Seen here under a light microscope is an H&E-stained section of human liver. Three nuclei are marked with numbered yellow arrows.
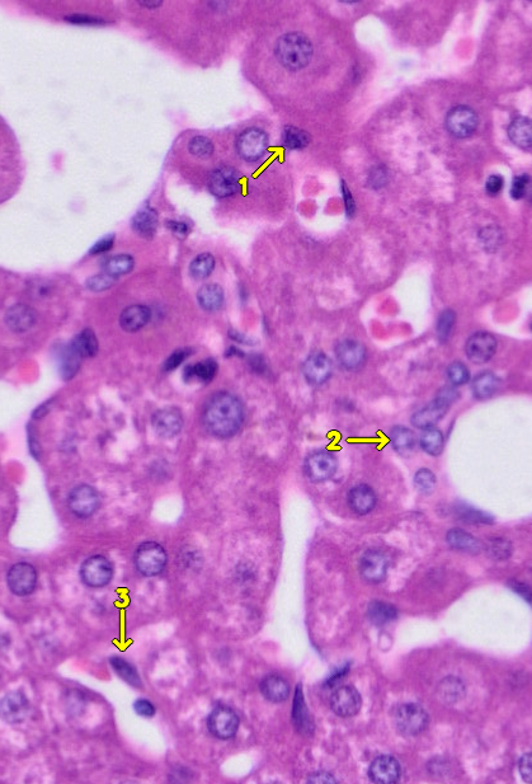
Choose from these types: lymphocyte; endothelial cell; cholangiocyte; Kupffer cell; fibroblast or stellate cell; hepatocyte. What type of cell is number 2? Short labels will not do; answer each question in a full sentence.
In this section, number 2 marks a cholangiocyte.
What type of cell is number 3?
The mark numbered 3 indicates the nucleus of a Kupffer cell.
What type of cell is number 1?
Numbered cell 1 is a fibroblast or stellate cell in this tissue section.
